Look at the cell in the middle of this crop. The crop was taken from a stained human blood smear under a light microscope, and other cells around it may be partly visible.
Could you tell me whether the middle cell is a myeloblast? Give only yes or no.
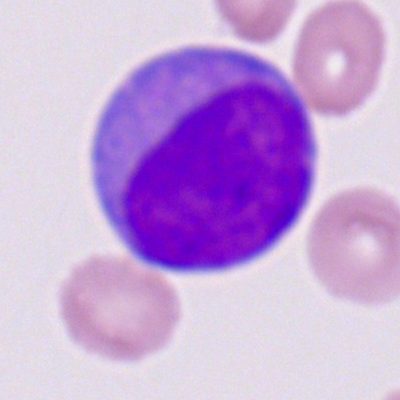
yes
